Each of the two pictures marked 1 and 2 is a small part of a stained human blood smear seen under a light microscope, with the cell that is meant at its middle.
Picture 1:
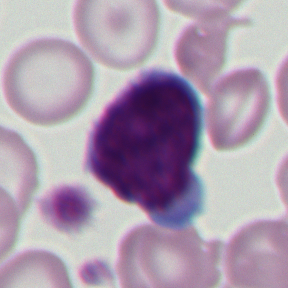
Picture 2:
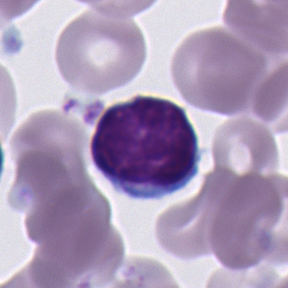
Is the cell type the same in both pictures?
yes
